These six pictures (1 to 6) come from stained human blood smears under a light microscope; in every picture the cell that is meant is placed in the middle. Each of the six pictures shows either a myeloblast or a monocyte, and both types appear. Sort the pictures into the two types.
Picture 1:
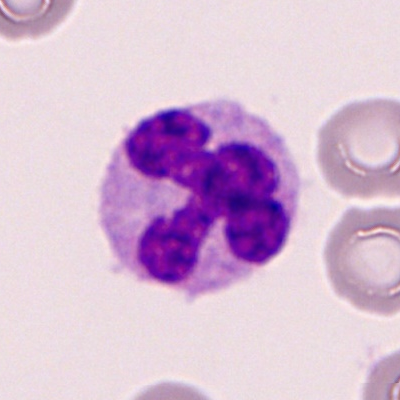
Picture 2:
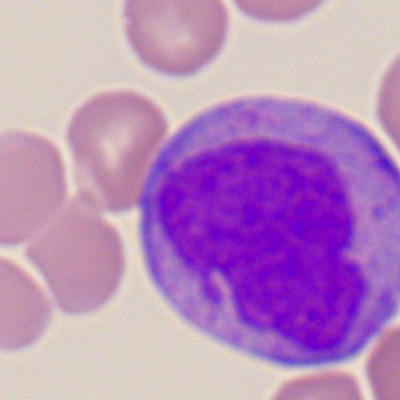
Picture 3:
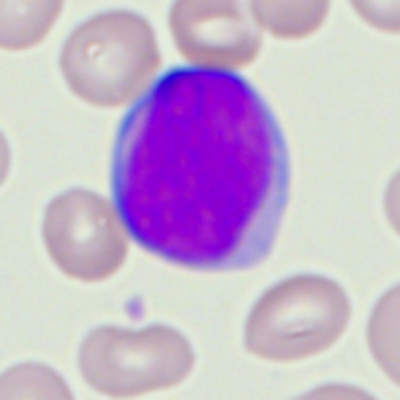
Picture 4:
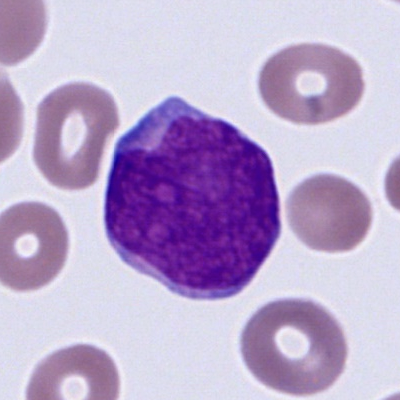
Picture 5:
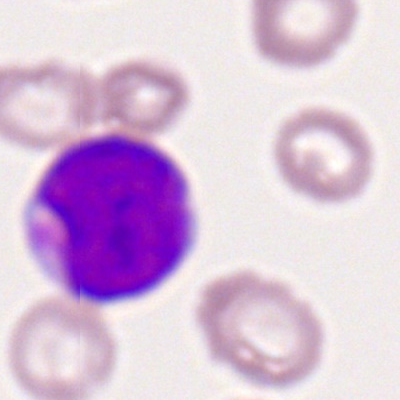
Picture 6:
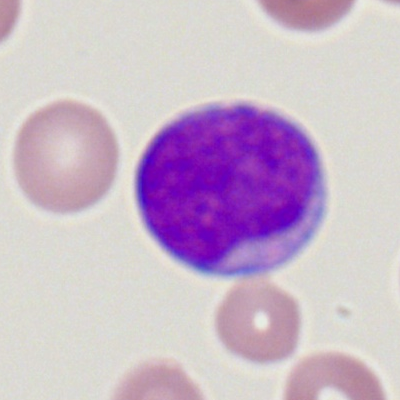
1: monocyte
2: monocyte
3: myeloblast
4: myeloblast
5: myeloblast
6: myeloblast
